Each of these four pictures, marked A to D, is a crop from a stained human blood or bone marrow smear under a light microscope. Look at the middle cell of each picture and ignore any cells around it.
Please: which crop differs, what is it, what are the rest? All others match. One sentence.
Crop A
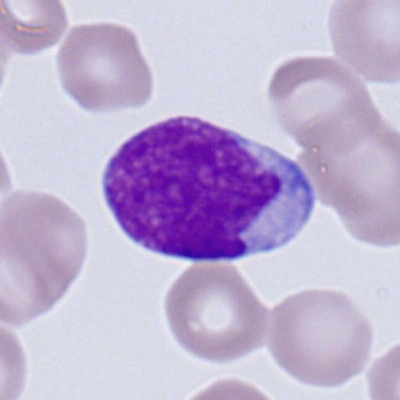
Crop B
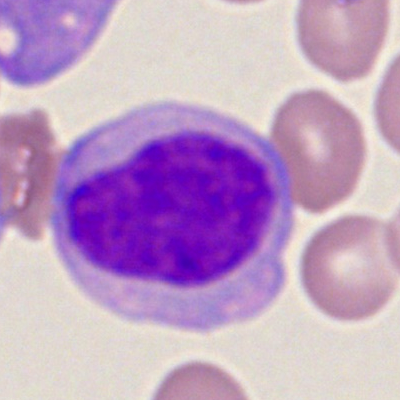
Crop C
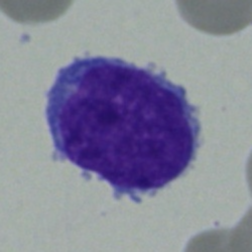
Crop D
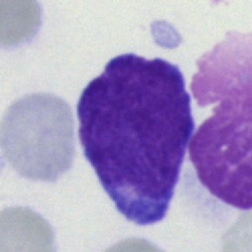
Crop B is the one to flag: it is a monocyte, and the rest show blasts.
